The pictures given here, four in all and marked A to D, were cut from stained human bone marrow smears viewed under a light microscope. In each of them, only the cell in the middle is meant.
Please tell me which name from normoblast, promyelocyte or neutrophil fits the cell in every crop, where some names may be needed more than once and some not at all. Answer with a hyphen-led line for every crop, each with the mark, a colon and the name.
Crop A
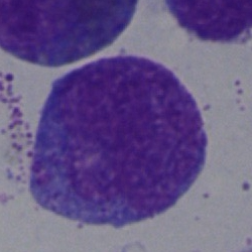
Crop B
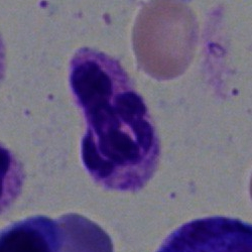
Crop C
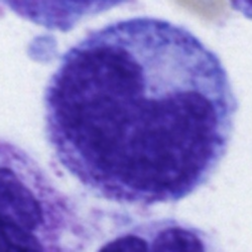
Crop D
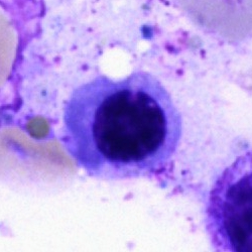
- A: promyelocyte
- B: neutrophil
- C: promyelocyte
- D: normoblast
